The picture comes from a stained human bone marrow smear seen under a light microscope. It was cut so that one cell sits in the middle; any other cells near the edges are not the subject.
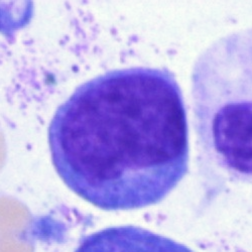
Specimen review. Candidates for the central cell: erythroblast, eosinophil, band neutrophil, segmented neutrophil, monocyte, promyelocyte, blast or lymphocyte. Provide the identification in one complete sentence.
Within this crop, a blast occupies the central position.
